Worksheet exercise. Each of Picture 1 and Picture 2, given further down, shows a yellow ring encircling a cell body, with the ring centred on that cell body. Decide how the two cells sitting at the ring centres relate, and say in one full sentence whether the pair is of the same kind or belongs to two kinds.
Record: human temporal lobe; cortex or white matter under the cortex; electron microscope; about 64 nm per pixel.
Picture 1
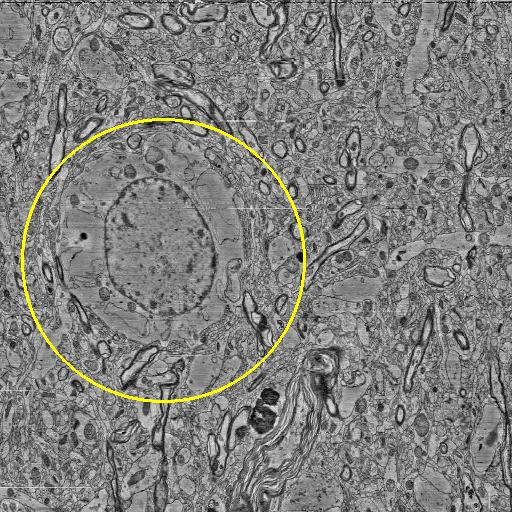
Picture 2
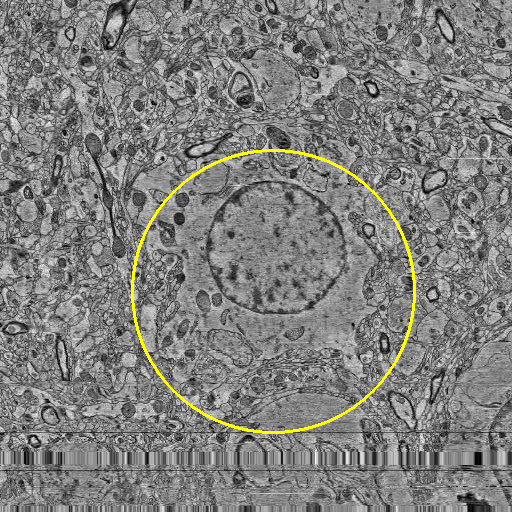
The cells at the ring centres in Picture 1 and Picture 2 are of the same kind.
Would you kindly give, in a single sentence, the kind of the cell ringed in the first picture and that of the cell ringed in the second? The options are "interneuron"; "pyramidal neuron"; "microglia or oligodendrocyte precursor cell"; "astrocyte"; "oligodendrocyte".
Both cells are the same kind, each one being an astrocyte.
